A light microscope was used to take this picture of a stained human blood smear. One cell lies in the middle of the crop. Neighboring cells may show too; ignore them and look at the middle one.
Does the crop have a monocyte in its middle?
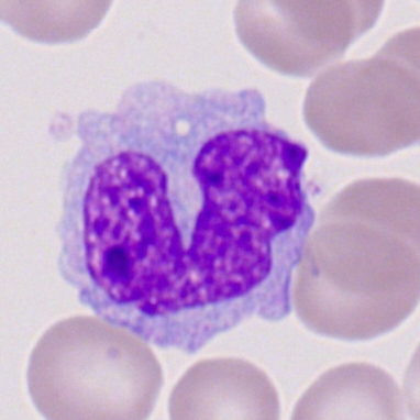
yes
